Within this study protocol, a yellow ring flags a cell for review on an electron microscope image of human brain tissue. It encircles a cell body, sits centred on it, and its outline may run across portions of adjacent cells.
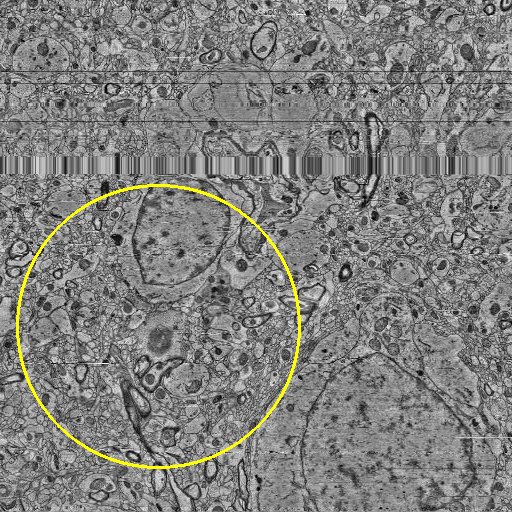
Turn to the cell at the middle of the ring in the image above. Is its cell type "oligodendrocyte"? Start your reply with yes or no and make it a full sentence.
Yes, the cell at the ring's centre in the image above has that cell type.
